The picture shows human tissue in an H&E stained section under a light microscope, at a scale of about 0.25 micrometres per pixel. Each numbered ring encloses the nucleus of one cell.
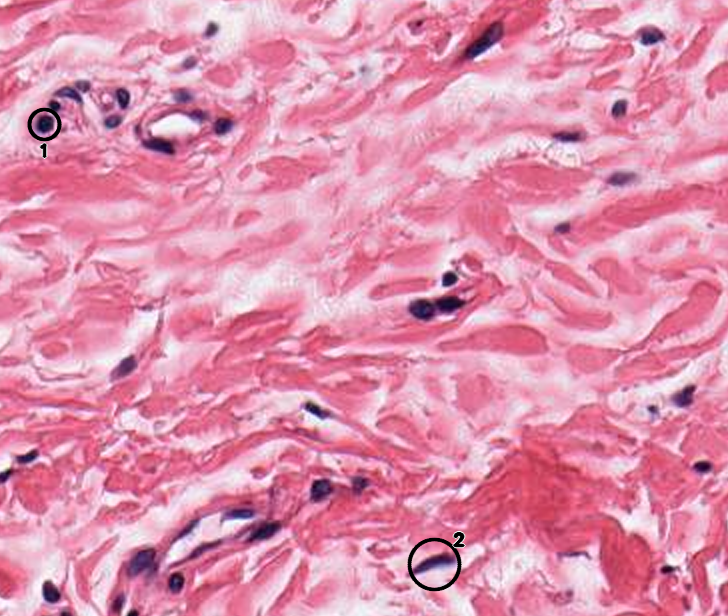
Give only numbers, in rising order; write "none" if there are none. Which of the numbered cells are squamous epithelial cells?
none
